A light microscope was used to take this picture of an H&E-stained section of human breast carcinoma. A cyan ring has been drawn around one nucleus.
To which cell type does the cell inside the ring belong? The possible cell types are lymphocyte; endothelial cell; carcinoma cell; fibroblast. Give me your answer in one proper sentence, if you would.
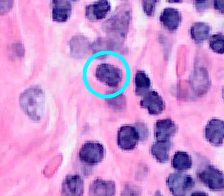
Cytologically, the cell inside the ring is to be regarded as a lymphocyte.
